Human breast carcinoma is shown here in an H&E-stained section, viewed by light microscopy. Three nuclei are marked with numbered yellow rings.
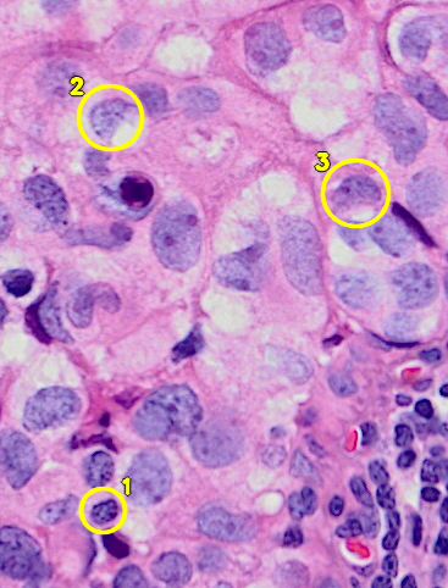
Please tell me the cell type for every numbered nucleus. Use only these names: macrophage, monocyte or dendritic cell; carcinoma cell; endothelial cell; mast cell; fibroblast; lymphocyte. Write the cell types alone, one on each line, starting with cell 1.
lymphocyte
carcinoma cell
carcinoma cell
